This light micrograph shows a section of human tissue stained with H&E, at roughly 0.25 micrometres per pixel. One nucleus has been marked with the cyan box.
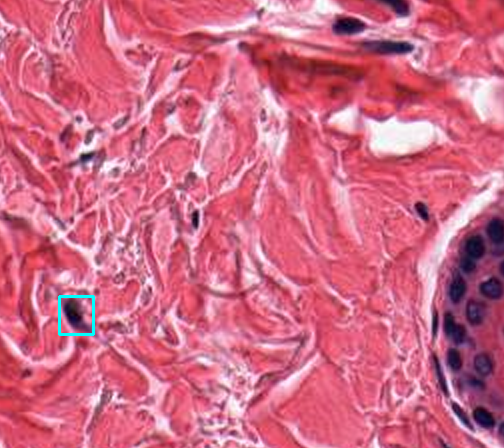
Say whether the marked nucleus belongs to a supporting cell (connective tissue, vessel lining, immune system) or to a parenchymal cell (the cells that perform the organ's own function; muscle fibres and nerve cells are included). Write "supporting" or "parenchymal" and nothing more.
supporting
